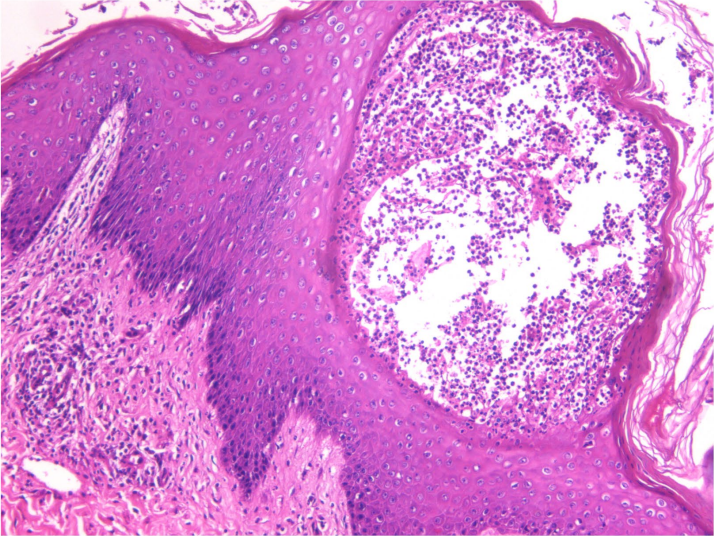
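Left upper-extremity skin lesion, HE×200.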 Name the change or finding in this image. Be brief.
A: Pustule formation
